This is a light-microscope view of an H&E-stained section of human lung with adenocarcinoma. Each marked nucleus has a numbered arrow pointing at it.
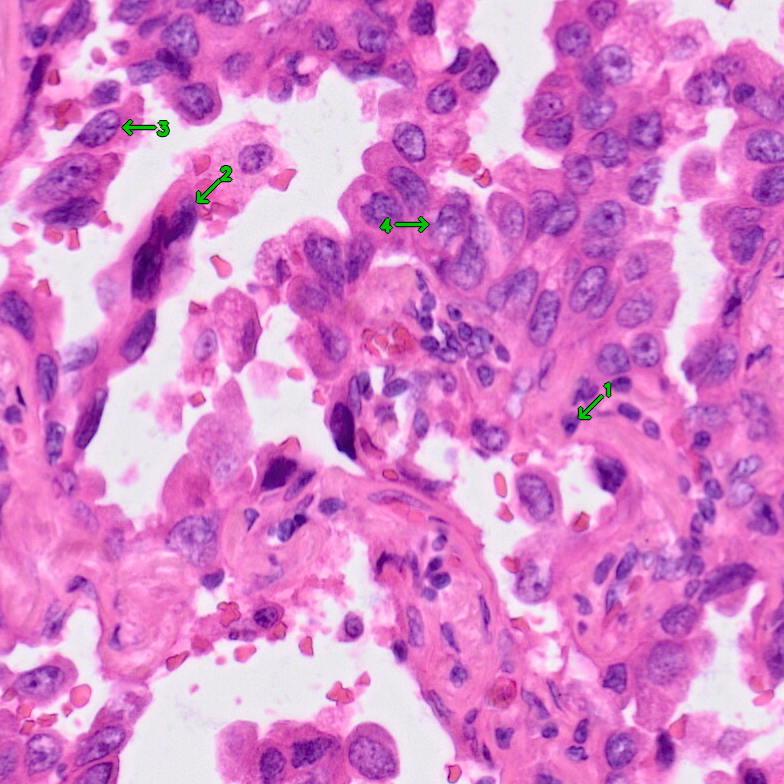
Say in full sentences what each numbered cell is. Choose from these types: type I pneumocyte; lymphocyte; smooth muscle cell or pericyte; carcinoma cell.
Cell 1 is a lymphocyte, cell 2 is a carcinoma cell, cell 3 is a carcinoma cell and cell 4 is a carcinoma cell.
